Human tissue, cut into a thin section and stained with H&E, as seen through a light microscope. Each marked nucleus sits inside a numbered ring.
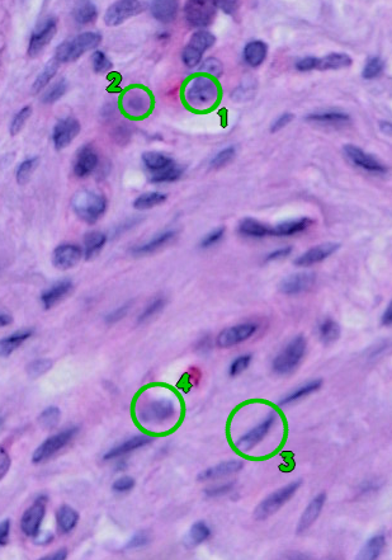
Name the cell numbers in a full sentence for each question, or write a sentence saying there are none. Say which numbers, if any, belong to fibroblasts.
Cell 3 is a fibroblast; the remaining numbered cells are not.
